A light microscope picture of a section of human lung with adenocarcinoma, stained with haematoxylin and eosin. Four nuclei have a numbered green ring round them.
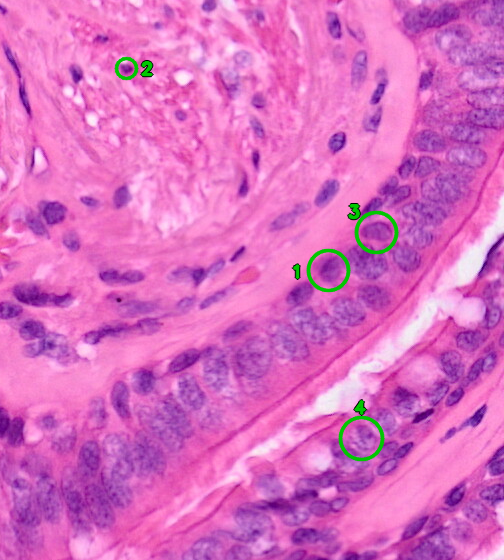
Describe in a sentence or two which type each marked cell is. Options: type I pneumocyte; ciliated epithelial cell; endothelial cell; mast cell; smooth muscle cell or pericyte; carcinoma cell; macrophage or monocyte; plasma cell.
Cells 1, 3 and 4 are ciliated epithelial cells. Cell 2 is a smooth muscle cell or pericyte.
